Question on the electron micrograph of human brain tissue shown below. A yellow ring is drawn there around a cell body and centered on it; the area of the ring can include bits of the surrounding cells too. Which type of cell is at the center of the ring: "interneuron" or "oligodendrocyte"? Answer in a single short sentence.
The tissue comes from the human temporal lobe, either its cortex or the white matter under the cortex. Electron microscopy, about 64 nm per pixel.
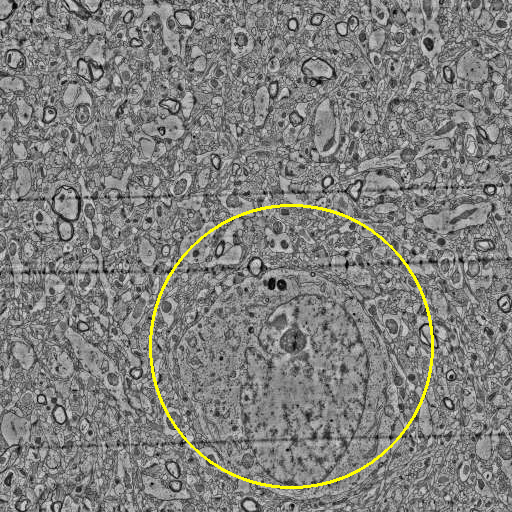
The ring is centered on an interneuron.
